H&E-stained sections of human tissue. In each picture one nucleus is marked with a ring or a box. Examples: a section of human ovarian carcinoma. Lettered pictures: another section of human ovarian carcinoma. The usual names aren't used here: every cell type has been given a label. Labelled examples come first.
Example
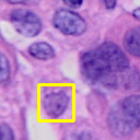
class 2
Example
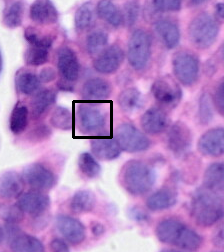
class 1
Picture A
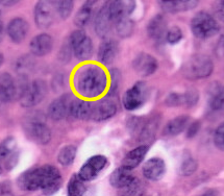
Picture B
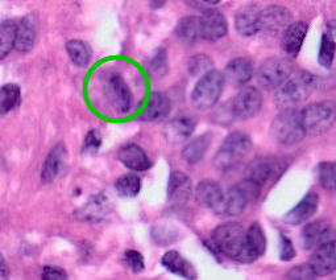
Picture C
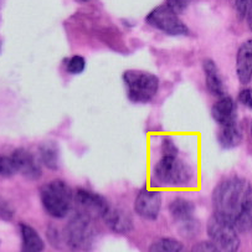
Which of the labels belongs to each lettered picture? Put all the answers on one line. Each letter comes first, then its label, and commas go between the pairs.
A class 1, B class 1, C class 2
